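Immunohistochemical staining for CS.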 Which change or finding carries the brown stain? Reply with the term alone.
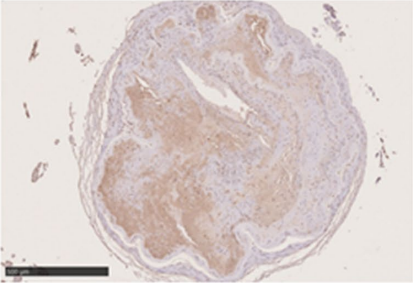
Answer: Thickened intima.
